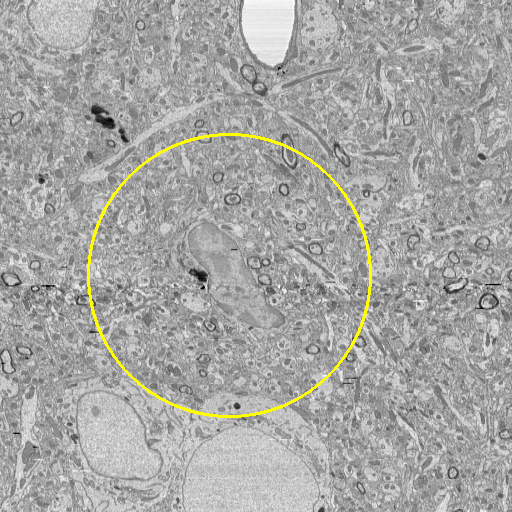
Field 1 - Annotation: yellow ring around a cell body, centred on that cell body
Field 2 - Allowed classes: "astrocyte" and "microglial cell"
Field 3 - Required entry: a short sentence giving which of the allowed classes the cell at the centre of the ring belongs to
The centred cell is a microglial cell.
